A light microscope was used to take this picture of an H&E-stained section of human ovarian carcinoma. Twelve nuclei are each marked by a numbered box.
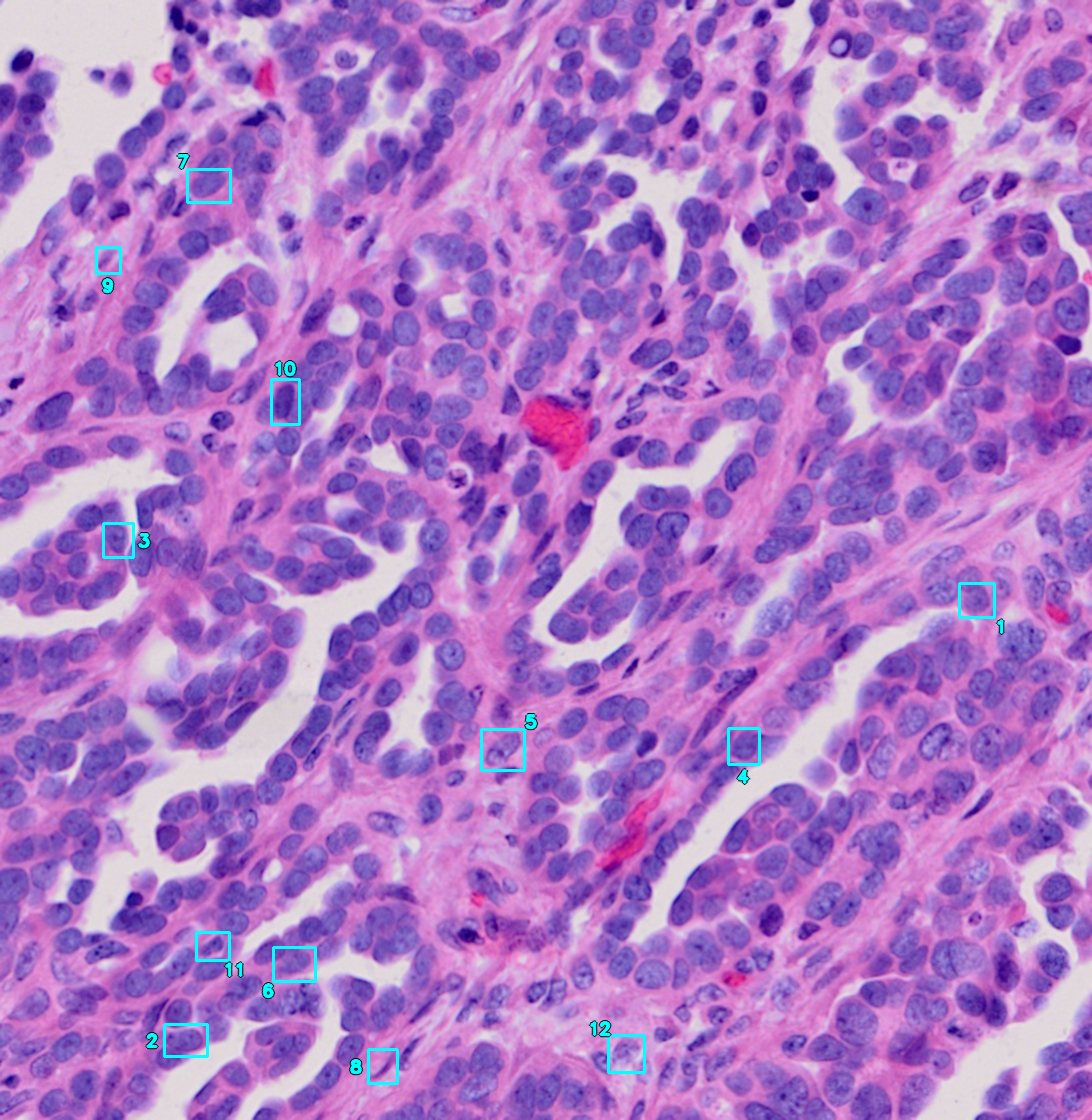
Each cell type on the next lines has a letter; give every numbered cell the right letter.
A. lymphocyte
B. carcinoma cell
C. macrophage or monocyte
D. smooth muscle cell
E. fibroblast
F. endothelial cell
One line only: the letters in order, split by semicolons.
B; B; B; B; E; B; B; E; E; B; C; E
